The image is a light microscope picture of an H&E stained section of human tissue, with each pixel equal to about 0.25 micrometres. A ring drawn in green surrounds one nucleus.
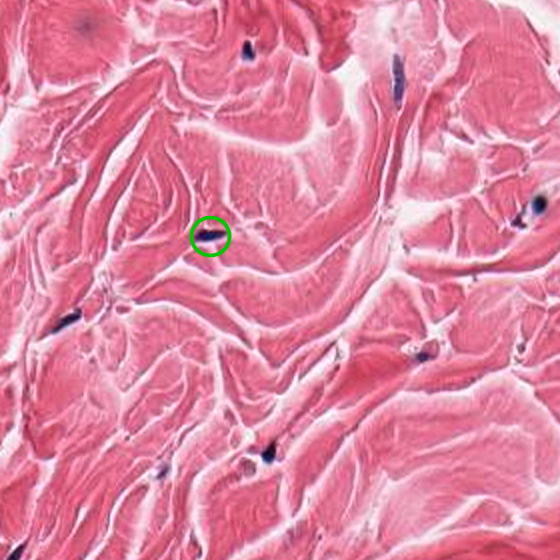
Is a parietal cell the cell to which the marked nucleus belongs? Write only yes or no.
no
